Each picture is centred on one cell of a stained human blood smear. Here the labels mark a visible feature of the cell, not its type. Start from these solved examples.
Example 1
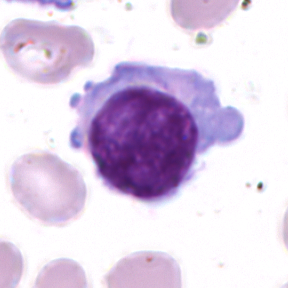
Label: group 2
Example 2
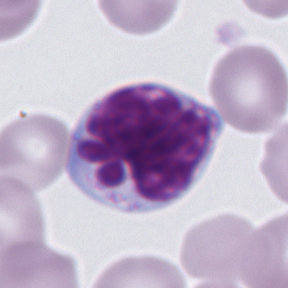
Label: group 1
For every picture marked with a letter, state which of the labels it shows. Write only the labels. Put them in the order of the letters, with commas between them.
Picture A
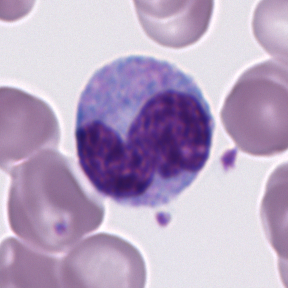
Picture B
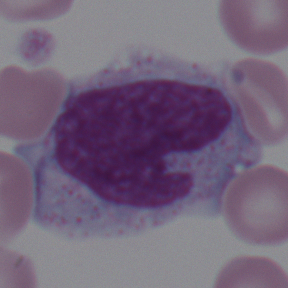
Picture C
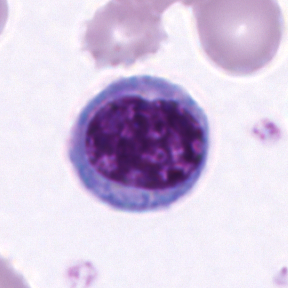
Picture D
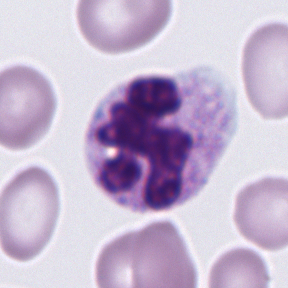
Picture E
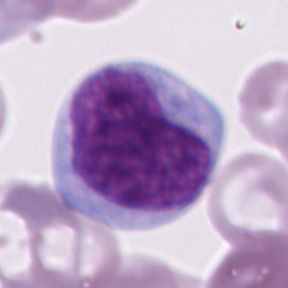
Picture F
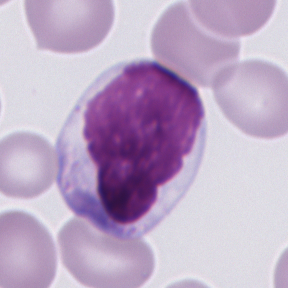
group 1, group 2, group 1, group 1, group 1, group 1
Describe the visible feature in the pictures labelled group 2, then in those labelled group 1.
In group 2: ragged outline or projections. In group 1: smooth outline.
